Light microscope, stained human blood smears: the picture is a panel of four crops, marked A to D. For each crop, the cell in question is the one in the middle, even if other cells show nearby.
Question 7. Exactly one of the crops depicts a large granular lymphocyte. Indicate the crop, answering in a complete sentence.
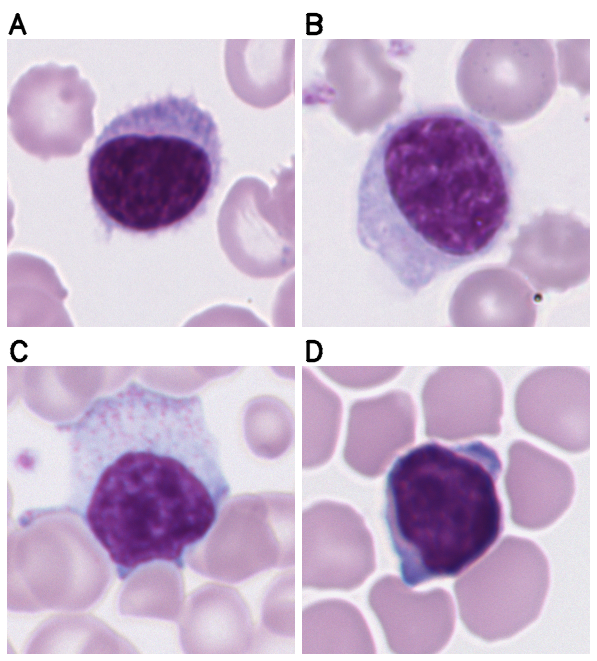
Crop C, and no other, shows a large granular lymphocyte.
